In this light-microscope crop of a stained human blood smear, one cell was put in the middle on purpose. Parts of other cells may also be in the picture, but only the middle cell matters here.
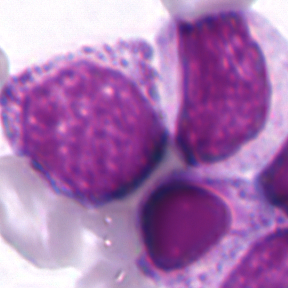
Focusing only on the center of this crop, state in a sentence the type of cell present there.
The middle cell in this particular crop is a myelocyte.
